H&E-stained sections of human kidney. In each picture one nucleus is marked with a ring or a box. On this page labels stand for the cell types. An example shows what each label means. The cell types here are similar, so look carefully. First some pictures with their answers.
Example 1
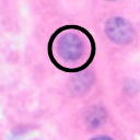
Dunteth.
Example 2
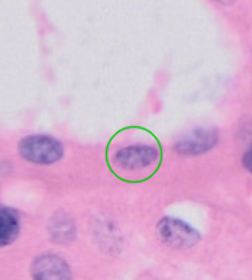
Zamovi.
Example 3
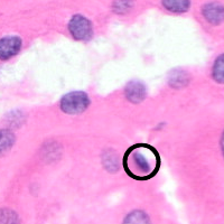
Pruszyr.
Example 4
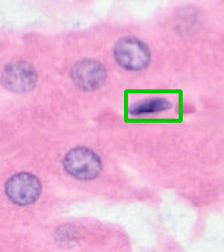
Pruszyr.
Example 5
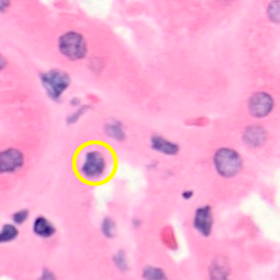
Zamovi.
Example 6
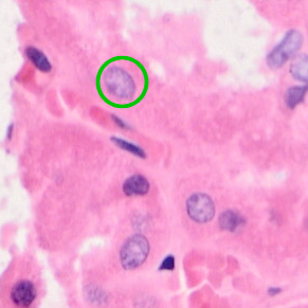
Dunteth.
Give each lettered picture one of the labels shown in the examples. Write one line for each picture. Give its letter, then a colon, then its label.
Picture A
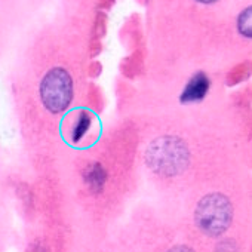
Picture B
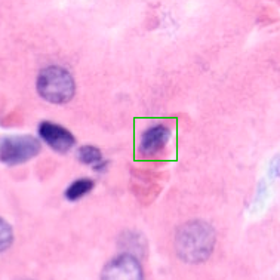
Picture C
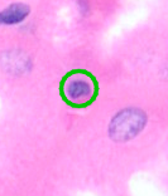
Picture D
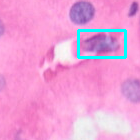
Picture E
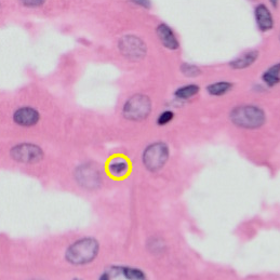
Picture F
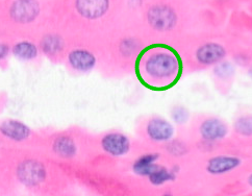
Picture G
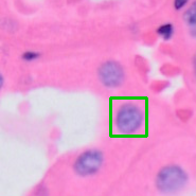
A: Pruszyr.
B: Pruszyr.
C: Pruszyr.
D: Pruszyr.
E: Pruszyr.
F: Zamovi.
G: Zamovi.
